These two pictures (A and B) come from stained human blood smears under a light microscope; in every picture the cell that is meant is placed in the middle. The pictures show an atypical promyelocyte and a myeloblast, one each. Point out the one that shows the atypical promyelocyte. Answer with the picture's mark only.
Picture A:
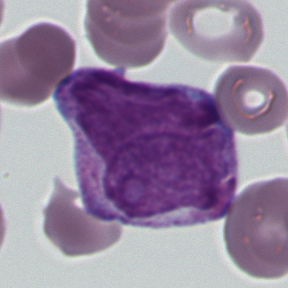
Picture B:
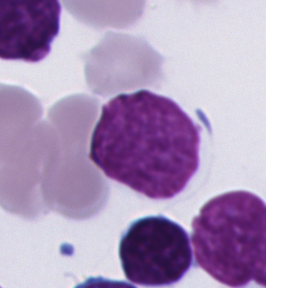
A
